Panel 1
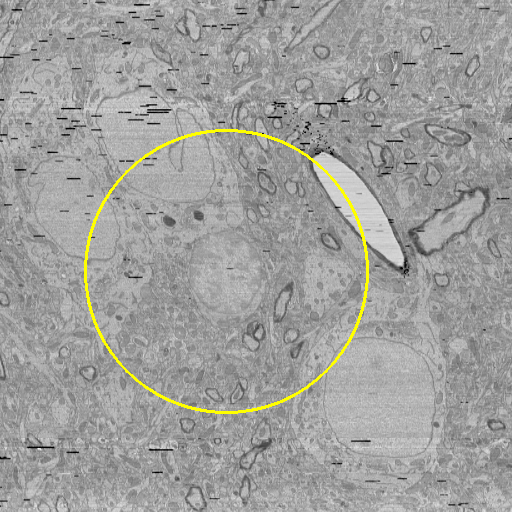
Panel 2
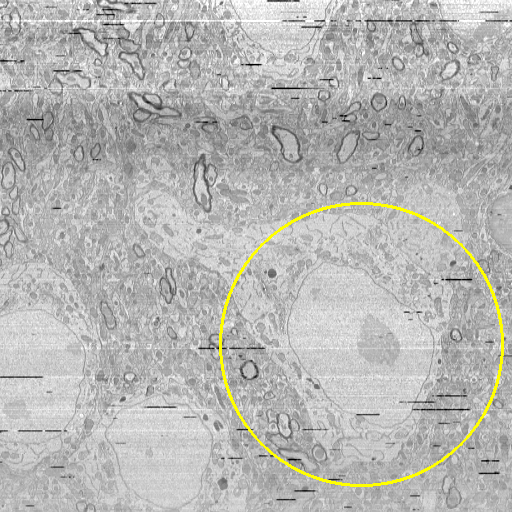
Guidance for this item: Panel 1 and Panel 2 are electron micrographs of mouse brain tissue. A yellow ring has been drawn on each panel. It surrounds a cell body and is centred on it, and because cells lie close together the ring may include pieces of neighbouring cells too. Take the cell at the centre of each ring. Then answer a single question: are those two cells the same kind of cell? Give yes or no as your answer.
no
